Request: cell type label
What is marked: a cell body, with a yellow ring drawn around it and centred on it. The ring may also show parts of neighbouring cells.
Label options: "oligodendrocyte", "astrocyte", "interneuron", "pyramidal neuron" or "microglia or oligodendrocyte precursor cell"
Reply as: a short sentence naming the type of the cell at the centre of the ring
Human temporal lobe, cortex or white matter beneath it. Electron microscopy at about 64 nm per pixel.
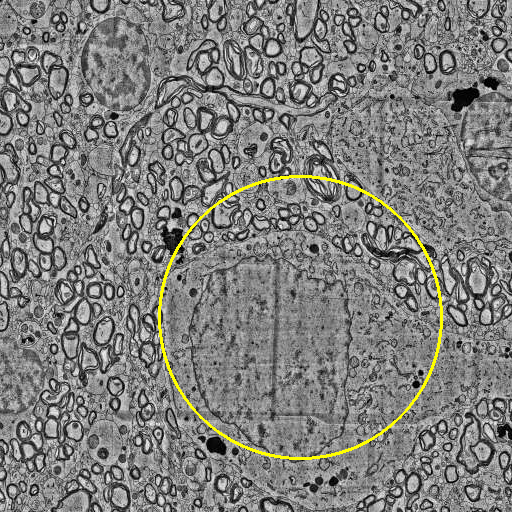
The marked cell body is that of a pyramidal neuron.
